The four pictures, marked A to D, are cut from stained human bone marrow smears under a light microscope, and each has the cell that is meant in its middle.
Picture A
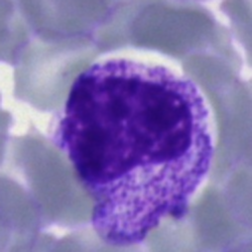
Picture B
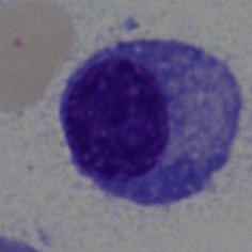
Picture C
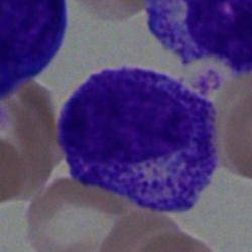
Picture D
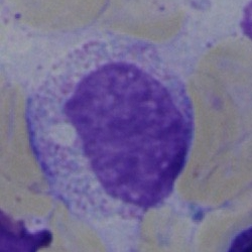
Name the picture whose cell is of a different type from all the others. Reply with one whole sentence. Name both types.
Picture B differs, because its cell is a plasma cell and the rest are myelocytes.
